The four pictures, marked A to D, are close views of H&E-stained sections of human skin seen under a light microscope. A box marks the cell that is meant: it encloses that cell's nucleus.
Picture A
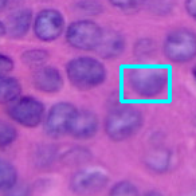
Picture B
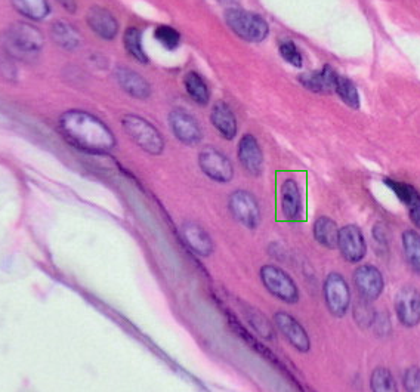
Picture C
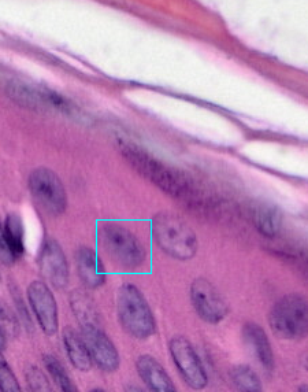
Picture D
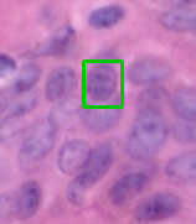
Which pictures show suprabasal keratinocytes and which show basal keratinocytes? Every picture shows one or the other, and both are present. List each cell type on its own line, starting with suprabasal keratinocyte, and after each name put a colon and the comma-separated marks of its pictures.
suprabasal keratinocyte: A, C
basal keratinocyte: B, D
